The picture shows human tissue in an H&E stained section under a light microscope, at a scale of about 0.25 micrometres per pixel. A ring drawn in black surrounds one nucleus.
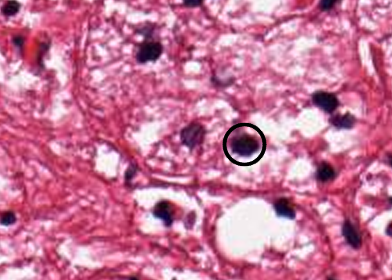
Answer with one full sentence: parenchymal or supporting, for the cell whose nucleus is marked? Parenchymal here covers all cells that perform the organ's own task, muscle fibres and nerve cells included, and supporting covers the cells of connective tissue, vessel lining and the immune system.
A parenchymal cell holds the marked nucleus, and that cell is an adrenal cortical cell.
